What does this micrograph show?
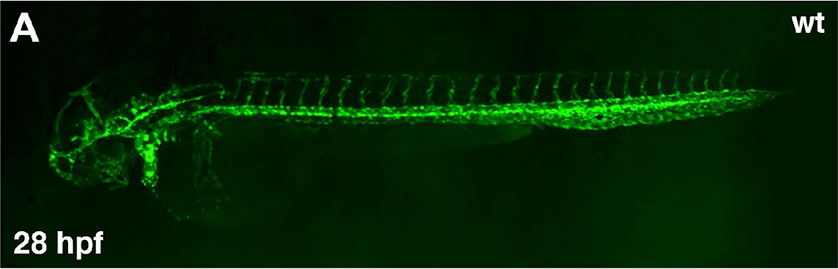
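In the head, a dense, branching network of vessels outlines the brain and eye region, with brighter clusters below it. Along the trunk and tail, longitudinal vessels run along the body axis, and from them thin vertical vessels rise at regular intervals, one per segment, forming a comb-like row that shortens towards the tail tip. Below the main axial vessels the green network is denser and more irregular in the posterior trunk. The yolk region below the trunk carries little signal.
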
